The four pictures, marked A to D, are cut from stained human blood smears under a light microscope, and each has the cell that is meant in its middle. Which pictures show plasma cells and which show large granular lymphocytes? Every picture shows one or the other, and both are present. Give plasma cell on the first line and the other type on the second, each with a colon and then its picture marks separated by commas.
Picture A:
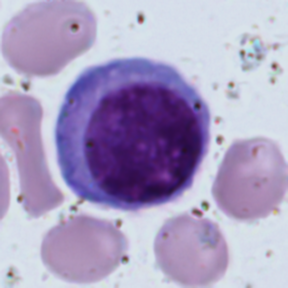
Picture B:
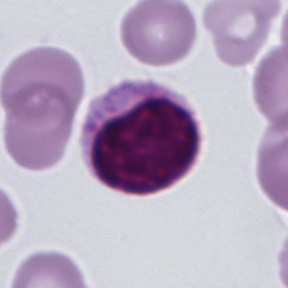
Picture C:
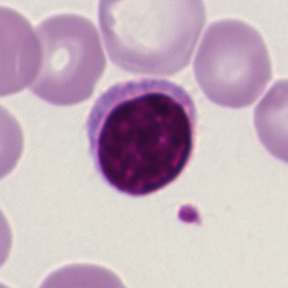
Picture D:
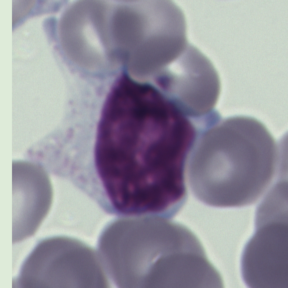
plasma cell: A
large granular lymphocyte: B, C, D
